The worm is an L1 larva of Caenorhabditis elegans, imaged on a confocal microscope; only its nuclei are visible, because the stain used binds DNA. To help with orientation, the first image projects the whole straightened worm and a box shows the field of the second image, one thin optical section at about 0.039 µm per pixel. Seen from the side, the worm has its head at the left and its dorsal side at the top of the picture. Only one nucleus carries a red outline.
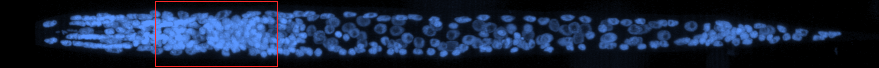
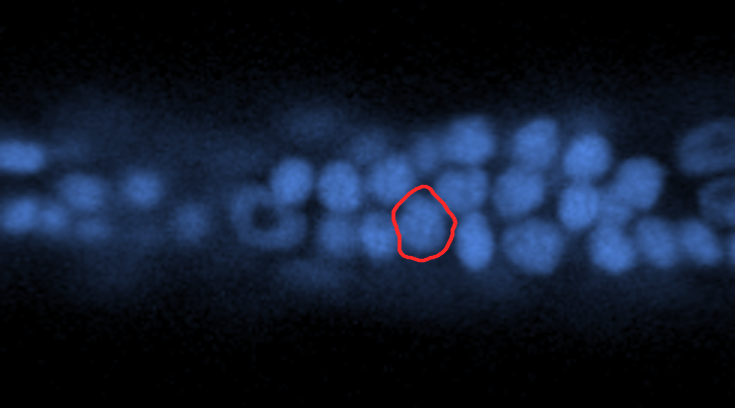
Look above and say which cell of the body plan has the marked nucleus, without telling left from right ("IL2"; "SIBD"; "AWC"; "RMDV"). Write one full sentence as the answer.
It belongs to AWC, a neuron.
